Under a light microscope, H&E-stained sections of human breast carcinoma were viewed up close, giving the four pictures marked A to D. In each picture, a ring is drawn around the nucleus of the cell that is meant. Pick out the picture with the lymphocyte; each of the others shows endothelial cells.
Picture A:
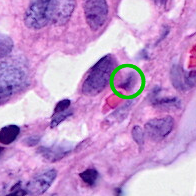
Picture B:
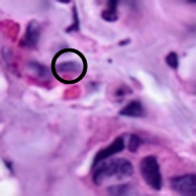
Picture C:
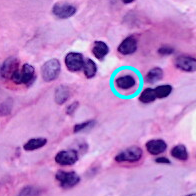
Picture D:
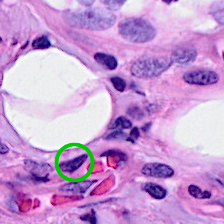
C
